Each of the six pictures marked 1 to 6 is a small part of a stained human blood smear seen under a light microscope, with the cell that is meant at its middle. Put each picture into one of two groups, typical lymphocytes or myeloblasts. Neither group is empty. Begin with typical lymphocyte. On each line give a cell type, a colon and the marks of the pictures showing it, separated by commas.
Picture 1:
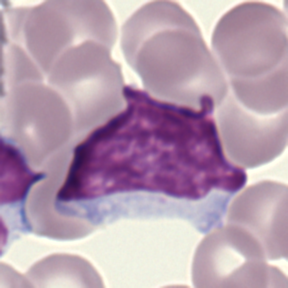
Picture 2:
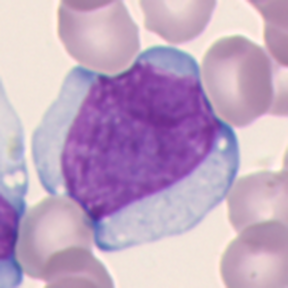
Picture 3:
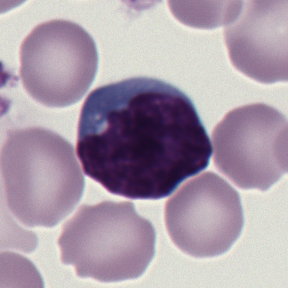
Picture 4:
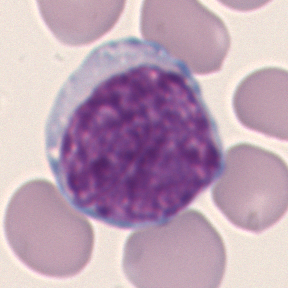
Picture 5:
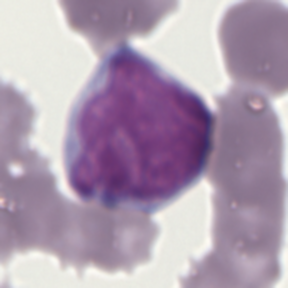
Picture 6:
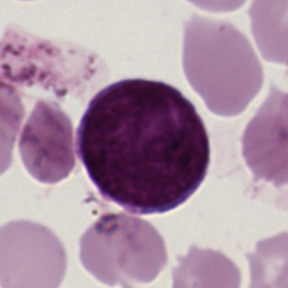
typical lymphocyte: 1, 3
myeloblast: 2, 4, 5, 6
